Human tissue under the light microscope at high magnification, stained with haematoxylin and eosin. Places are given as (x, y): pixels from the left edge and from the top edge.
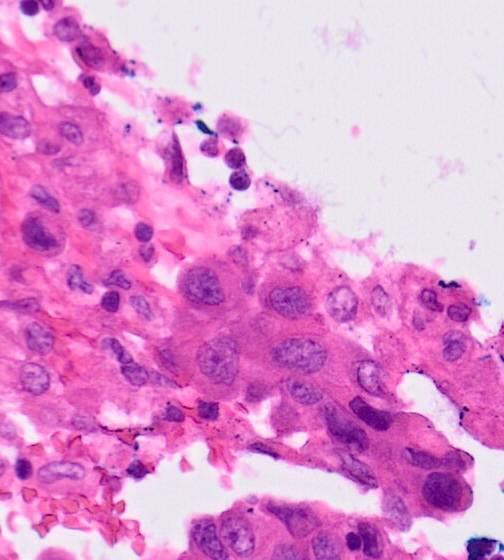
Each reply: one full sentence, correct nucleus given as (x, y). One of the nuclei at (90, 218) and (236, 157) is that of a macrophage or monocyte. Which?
The nucleus at (90, 218), rather than the other one, belongs to a macrophage or monocyte.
